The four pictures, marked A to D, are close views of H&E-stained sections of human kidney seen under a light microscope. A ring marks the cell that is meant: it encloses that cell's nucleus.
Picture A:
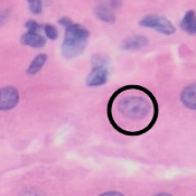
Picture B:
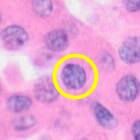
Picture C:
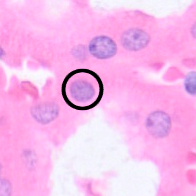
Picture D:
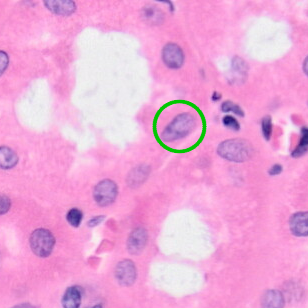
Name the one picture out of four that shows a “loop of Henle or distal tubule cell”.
B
